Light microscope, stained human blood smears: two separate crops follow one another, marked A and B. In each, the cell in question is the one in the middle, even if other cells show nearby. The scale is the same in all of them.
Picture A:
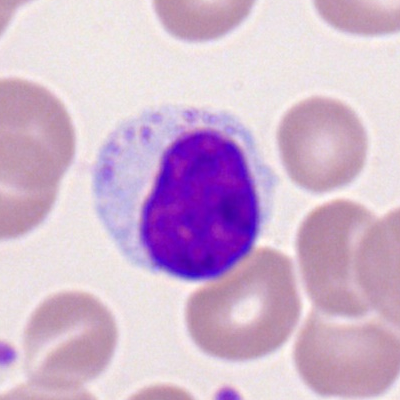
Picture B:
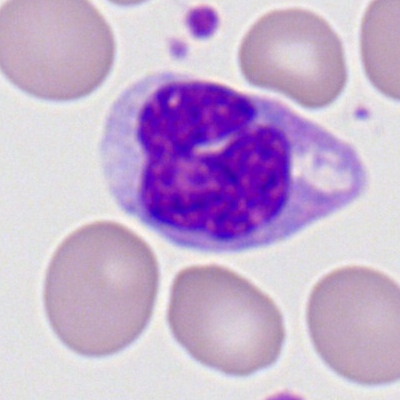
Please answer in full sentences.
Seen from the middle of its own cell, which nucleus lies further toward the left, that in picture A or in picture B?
In picture B the nucleus is shifted more toward the left.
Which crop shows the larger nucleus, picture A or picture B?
Larger is the nucleus in picture B, at roughly 1.5 times the area of the other.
